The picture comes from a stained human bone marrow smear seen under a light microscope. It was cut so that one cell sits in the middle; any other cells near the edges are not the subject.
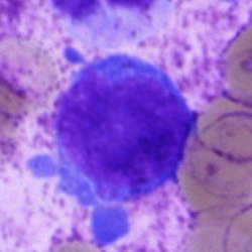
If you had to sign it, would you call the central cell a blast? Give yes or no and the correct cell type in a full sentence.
Yes, centred in the crop is a blast.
